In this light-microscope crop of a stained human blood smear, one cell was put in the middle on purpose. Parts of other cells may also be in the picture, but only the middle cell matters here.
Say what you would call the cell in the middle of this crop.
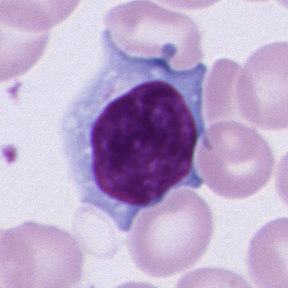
typical lymphocyte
